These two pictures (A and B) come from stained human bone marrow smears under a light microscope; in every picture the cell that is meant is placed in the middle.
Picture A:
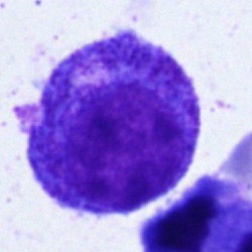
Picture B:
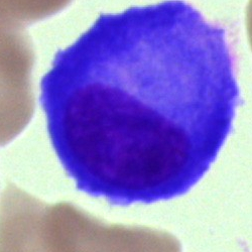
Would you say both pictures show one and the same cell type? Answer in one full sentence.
No, picture A shows a promyelocyte and picture B shows a plasma cell.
